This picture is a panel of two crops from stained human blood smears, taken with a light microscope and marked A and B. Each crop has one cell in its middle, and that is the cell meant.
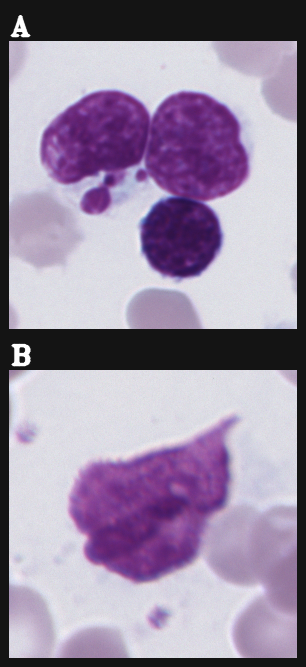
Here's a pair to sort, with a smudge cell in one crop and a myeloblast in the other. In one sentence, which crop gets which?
The correct labels are a myeloblast for crop A and a smudge cell for crop B.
